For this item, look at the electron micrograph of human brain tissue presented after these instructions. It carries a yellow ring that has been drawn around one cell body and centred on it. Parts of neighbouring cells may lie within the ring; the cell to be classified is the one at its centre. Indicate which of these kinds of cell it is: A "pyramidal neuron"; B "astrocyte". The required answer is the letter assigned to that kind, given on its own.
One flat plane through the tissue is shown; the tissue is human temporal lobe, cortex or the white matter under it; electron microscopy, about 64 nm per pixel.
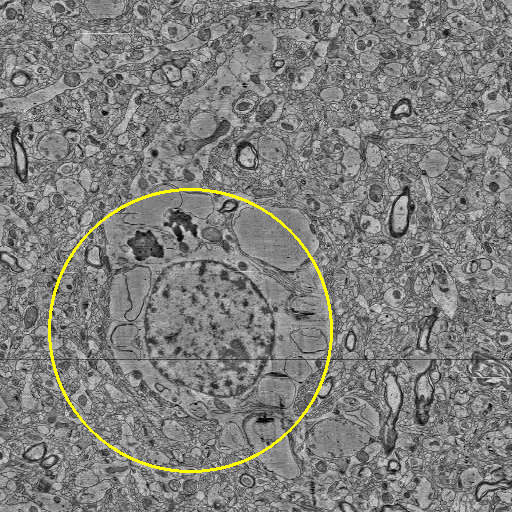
B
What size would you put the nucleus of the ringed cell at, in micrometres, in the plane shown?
About 9 micrometres across in this plane, for the nucleus.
